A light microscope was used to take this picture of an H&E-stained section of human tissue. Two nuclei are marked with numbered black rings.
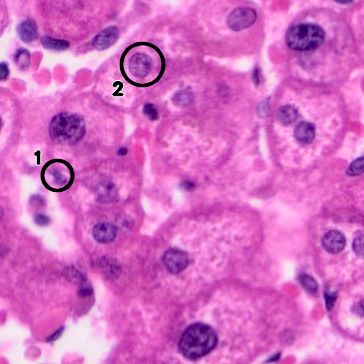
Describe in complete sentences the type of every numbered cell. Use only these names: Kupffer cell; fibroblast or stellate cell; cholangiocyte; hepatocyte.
Cell 1 is a fibroblast or stellate cell. Cell 2 is a hepatocyte.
